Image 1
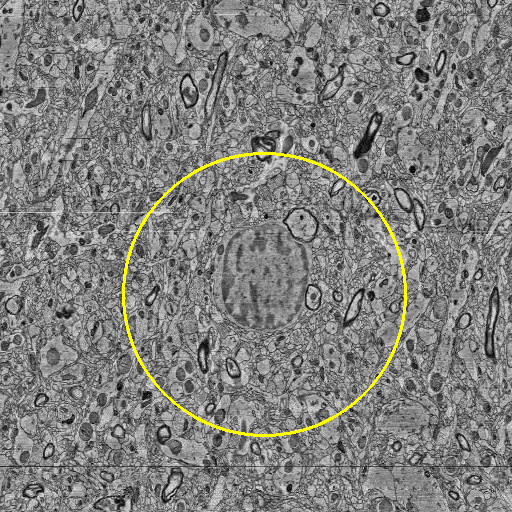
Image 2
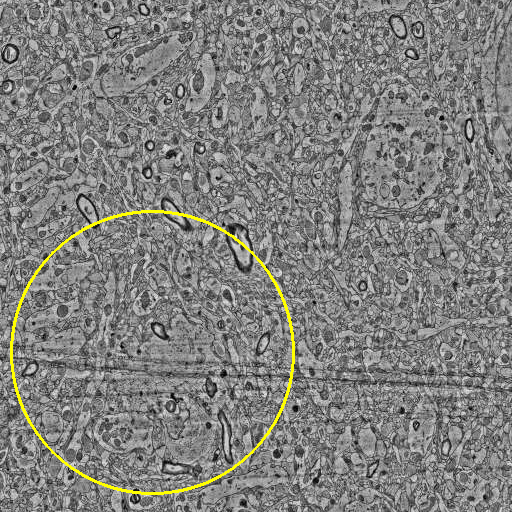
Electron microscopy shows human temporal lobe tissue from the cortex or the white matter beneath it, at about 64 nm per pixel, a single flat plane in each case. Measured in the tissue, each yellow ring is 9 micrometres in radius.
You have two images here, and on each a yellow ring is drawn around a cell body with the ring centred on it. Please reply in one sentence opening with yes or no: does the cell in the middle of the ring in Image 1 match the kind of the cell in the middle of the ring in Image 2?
No, the two images show cells of two kinds at the centres of their rings.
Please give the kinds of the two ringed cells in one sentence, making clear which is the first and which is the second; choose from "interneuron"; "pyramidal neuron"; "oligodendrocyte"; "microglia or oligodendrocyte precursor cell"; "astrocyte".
In the second picture the ringed cell is a microglial cell or oligodendrocyte precursor cell; in the first it is an oligodendrocyte.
